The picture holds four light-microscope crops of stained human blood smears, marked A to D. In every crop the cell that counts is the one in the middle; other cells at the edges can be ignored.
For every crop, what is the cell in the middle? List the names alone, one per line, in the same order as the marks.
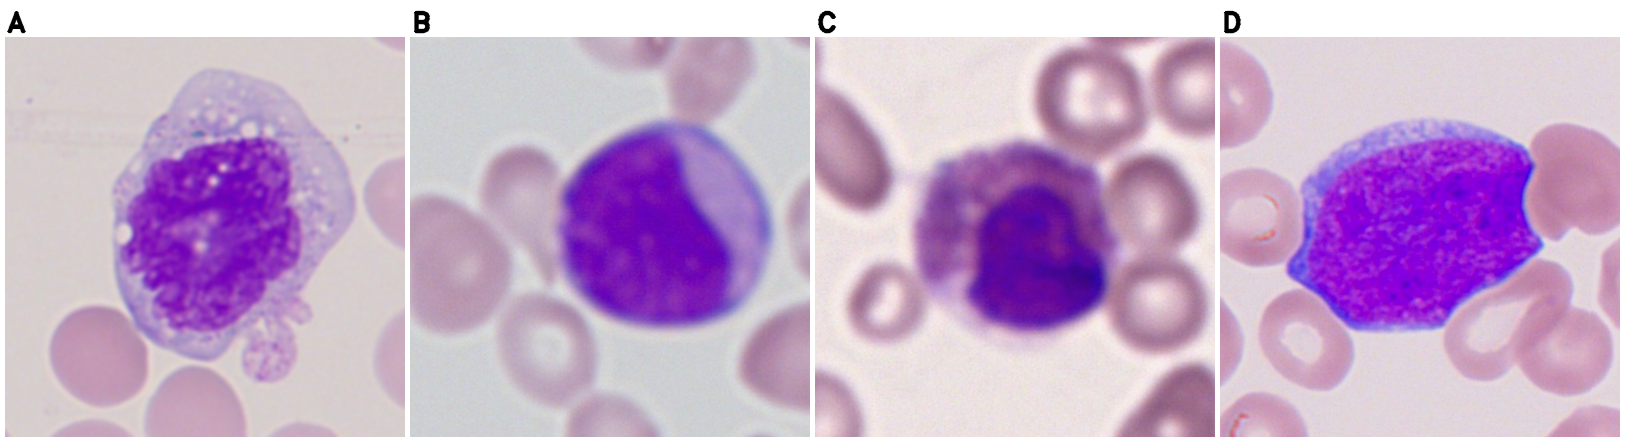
monocyte
myeloblast
eosinophil
myeloblast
